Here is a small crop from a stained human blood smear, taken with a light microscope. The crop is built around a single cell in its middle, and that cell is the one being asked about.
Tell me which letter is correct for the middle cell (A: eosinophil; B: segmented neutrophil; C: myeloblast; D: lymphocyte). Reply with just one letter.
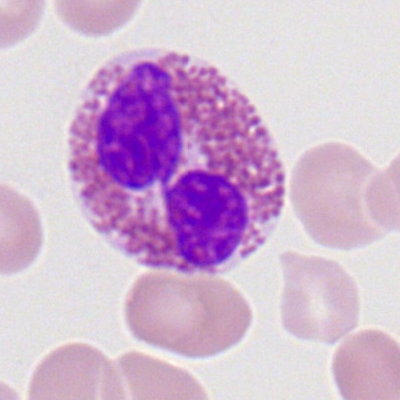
A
